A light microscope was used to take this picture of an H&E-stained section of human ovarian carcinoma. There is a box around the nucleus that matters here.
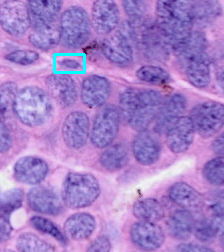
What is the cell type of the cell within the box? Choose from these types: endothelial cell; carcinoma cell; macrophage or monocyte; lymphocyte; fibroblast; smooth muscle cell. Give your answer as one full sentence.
The cell type of the cell within the box is that of a macrophage or monocyte.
